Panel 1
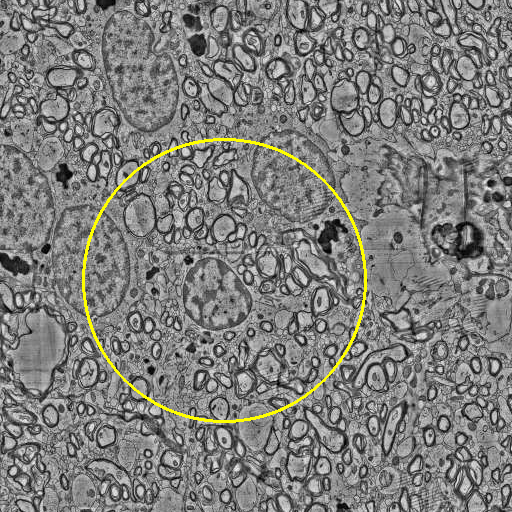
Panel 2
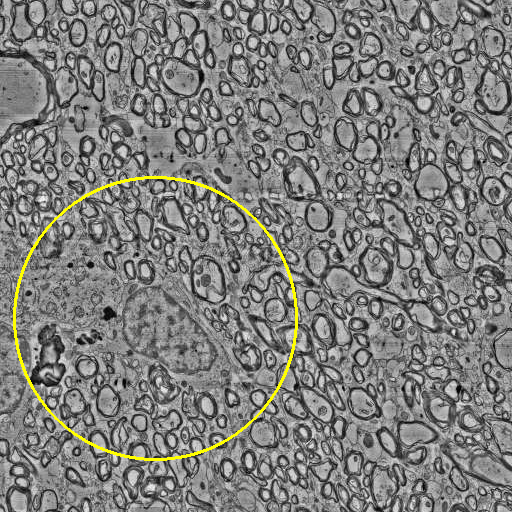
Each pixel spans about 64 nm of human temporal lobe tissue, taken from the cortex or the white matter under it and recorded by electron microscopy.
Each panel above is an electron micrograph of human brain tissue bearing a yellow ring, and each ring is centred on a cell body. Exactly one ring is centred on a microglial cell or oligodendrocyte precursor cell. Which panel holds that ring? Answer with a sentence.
That ring is in Panel 1.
